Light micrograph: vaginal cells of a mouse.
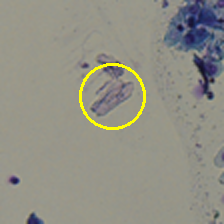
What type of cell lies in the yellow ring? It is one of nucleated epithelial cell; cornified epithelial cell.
The ringed cell is a cornified epithelial cell.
